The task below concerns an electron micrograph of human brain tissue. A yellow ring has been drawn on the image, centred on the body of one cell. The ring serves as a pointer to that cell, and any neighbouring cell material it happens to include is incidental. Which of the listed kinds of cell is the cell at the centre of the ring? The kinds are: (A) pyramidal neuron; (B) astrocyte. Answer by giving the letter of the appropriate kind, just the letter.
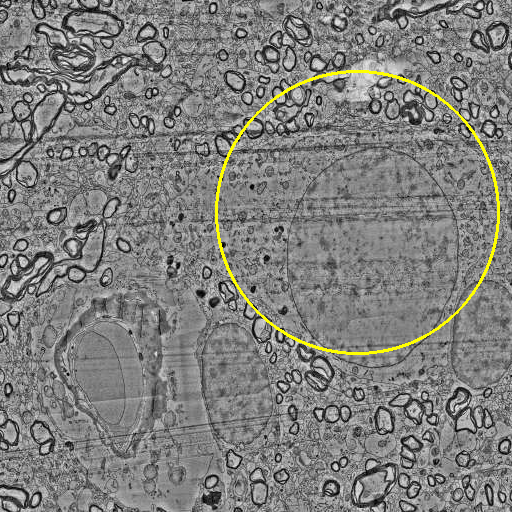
A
